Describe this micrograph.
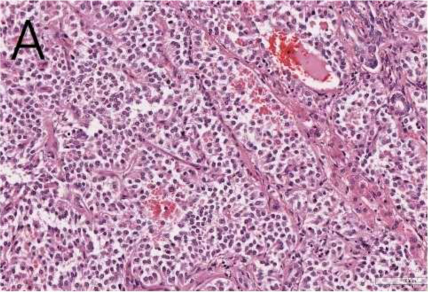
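This tumor shows a solid region of tumor cells arranged in nests separated by thin pink fibrovascular strands carrying small vessels. The cells are of similar size and shape, with round purple nuclei and pale pink to clear cytoplasm. Nuclei are uniform without obvious atypia, and the cells sit closely packed in sheets between the delicate septa.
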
